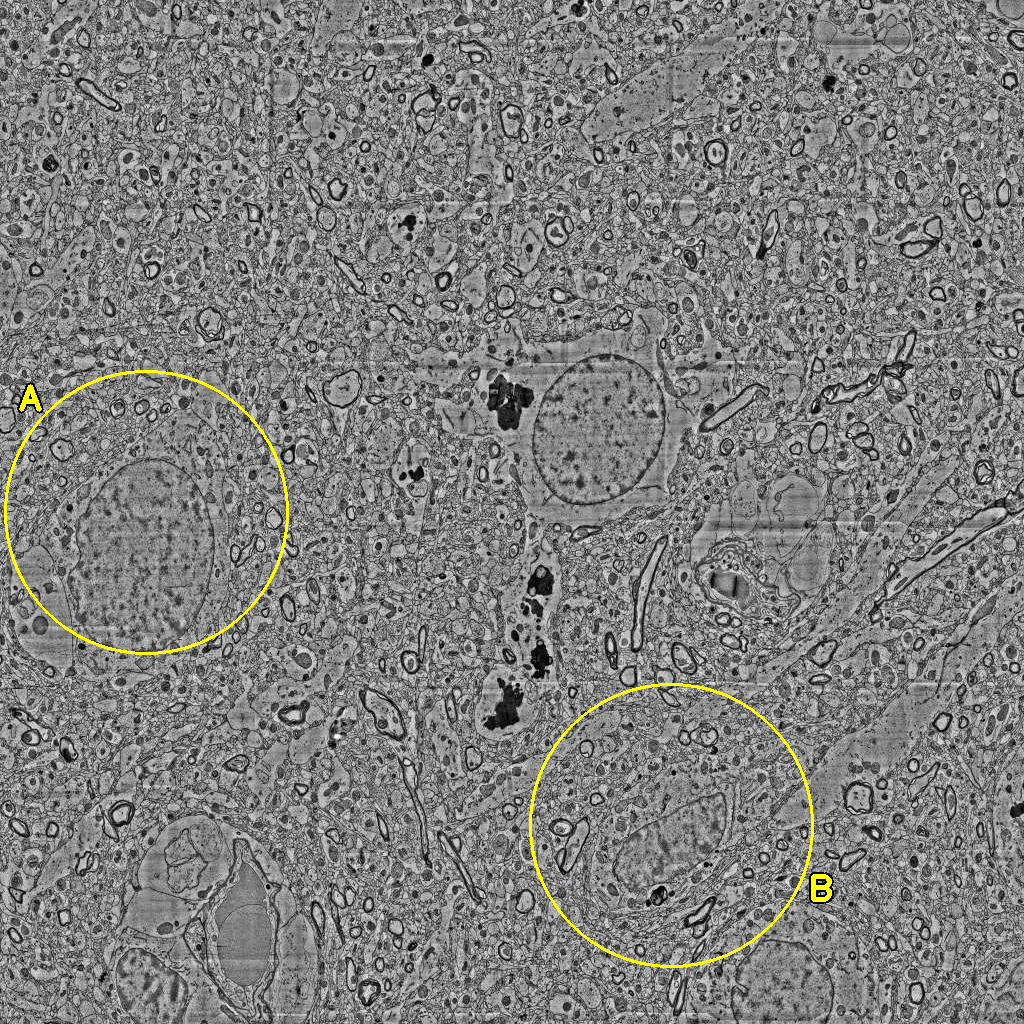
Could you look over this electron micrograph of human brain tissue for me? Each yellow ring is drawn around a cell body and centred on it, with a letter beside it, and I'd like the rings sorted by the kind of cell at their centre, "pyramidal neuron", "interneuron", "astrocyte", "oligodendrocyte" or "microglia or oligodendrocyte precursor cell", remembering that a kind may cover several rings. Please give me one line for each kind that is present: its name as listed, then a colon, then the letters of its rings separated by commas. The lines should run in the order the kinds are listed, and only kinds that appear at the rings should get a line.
pyramidal neuron: A
interneuron: B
